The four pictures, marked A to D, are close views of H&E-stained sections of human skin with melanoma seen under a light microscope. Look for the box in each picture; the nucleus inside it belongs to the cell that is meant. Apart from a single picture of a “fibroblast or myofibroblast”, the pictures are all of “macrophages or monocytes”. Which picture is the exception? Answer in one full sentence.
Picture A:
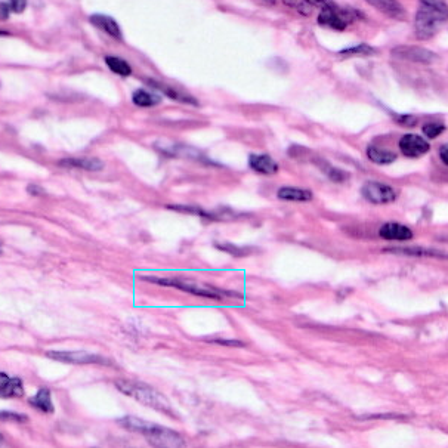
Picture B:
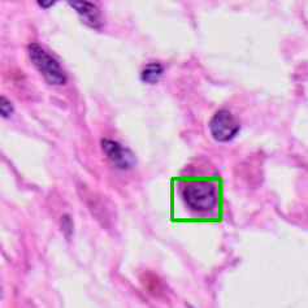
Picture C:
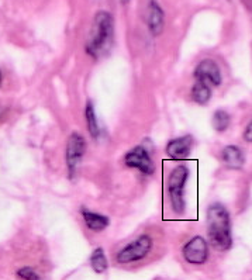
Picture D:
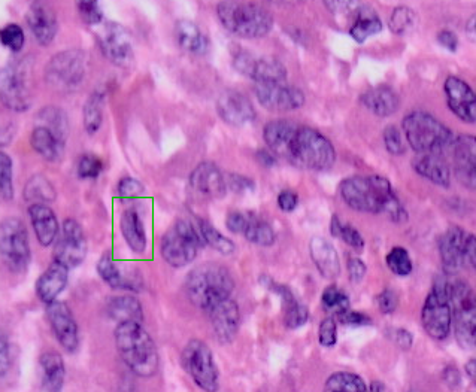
The “fibroblast or myofibroblast” is the one in picture A.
